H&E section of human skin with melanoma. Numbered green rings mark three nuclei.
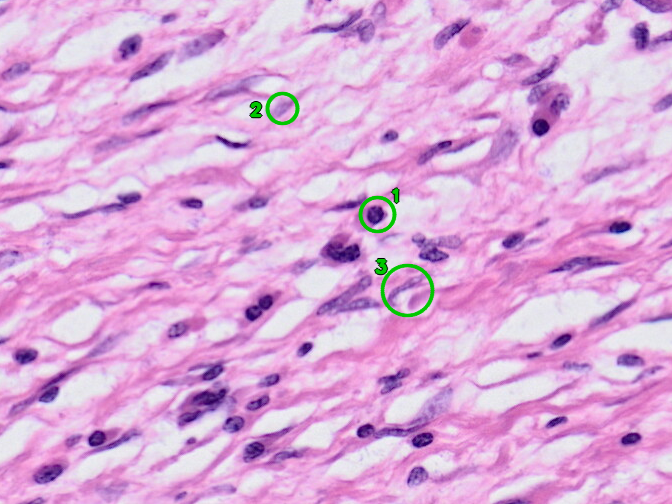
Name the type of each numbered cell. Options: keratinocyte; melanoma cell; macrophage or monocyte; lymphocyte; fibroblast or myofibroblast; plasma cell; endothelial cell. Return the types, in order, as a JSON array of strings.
["plasma cell", "fibroblast or myofibroblast", "fibroblast or myofibroblast"]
